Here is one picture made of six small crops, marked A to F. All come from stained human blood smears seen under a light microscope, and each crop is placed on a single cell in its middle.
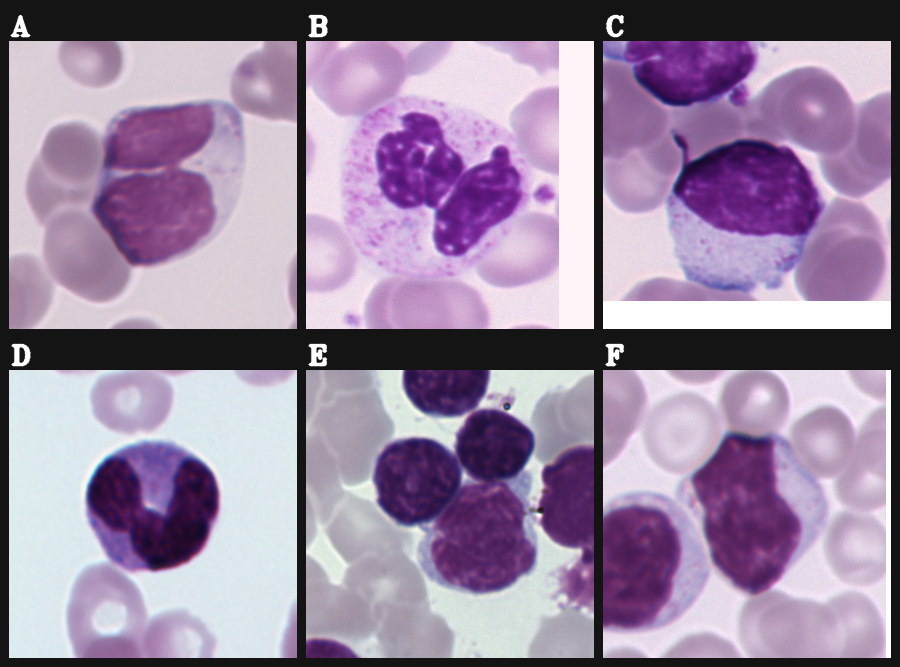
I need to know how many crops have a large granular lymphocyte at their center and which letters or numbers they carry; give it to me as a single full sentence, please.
There are three crops showing large granular lymphocytes, namely A, C and F.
